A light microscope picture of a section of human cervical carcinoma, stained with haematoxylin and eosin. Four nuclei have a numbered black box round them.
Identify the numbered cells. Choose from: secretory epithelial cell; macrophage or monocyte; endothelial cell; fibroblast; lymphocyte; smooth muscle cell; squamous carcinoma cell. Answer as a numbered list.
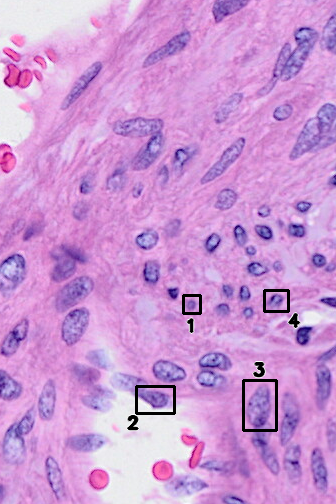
1. smooth muscle cell
2. endothelial cell
3. smooth muscle cell
4. smooth muscle cell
